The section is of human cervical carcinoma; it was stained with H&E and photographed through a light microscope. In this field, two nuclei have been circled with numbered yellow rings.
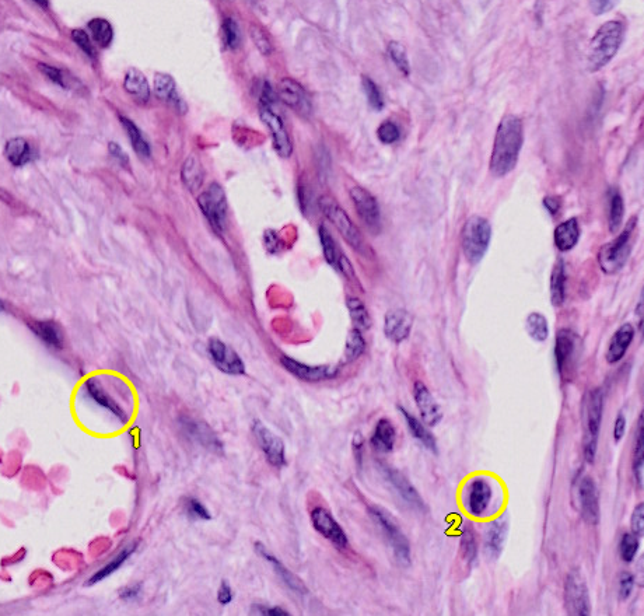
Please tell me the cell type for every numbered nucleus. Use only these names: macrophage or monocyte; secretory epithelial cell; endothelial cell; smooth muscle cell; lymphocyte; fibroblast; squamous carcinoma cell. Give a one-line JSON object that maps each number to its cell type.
{"1": "endothelial cell", "2": "lymphocyte"}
